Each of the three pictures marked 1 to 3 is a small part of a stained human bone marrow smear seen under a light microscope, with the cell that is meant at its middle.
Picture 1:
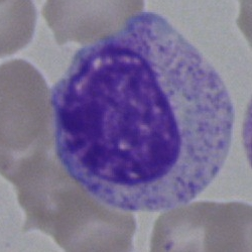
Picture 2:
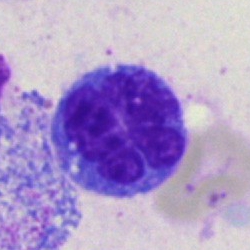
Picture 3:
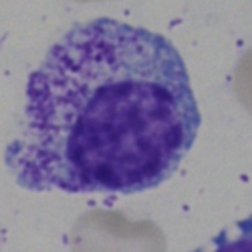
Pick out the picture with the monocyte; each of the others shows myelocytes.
2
